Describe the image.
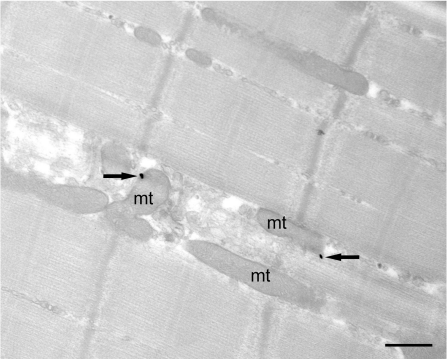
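Skeletal muscle fibre in longitudinal section: parallel myofibrils with regularly spaced dark transverse lines marking the sarcomeres, and pale gaps between fibrils. Elongated, smooth grey mitochondria lie lengthwise between the myofibrils, some near the transverse lines. Small round black dense particles sit on the outer boundary of two mitochondria, at their surface rather than inside. Some spaces between fibrils look pale and vacuolated. The picture is that of striated muscle with intermyofibrillar mitochondria carrying surface particles on their outer membranes.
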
